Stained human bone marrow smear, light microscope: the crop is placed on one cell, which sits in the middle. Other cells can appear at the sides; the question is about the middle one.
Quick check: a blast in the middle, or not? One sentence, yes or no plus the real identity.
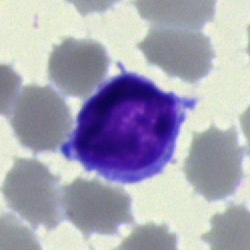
No; rather than a blast, the cell at the center is a lymphocyte.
